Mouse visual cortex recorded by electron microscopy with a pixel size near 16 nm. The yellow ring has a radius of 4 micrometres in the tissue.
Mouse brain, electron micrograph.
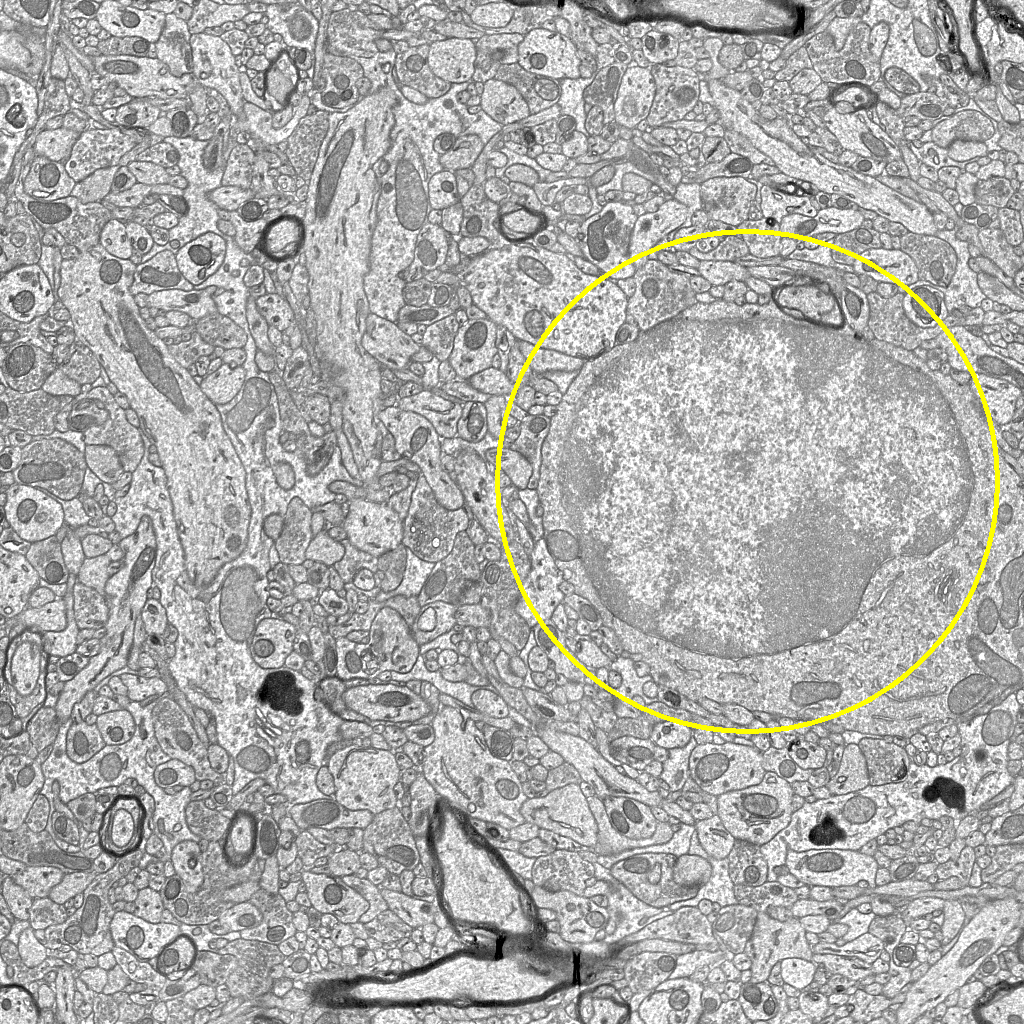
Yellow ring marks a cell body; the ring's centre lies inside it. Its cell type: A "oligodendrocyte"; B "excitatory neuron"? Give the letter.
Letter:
A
